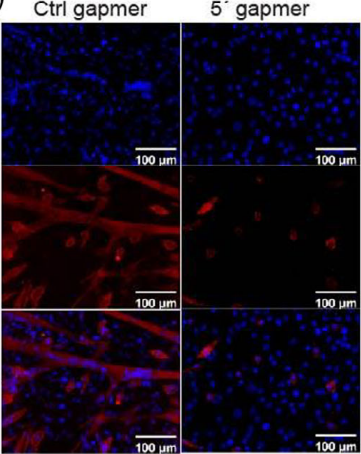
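In the left column, long, broad red-stained fibres run diagonally across a field of blue oval nuclei, some fibres holding several nuclei in a row; these are multinucleated myotubes formed by fusion of muscle precursor cells. Between them lie many unfused cells with single nuclei. In the right column the blue nuclei are evenly spread and similarly dense, but red staining is confined to a few small, short, spindle or rounded cells, and no long multinucleated fibres are seen, so fusion into myotubes has largely failed there.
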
